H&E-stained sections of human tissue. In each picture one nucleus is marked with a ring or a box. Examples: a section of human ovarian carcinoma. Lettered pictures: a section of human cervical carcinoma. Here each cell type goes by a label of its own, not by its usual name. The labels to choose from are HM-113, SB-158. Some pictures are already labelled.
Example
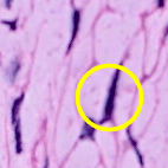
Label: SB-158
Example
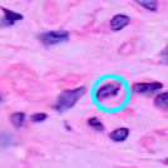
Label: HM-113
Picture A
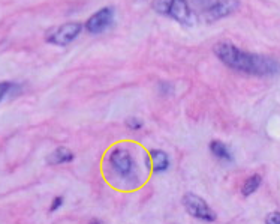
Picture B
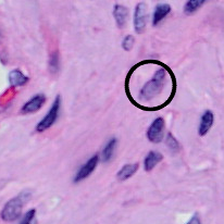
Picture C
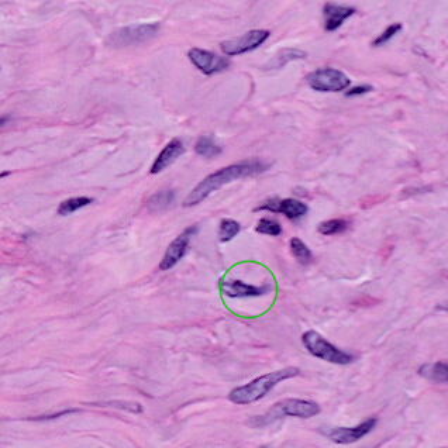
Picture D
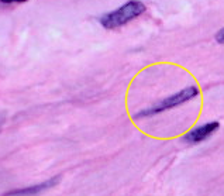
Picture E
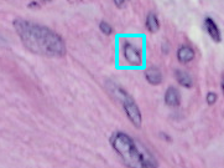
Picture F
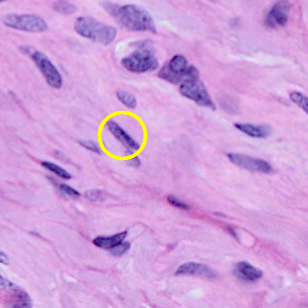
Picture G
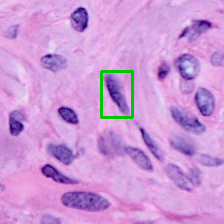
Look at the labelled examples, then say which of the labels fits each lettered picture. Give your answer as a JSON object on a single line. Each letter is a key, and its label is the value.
{"A": "HM-113", "B": "SB-158", "C": "SB-158", "D": "SB-158", "E": "HM-113", "F": "SB-158", "G": "SB-158"}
